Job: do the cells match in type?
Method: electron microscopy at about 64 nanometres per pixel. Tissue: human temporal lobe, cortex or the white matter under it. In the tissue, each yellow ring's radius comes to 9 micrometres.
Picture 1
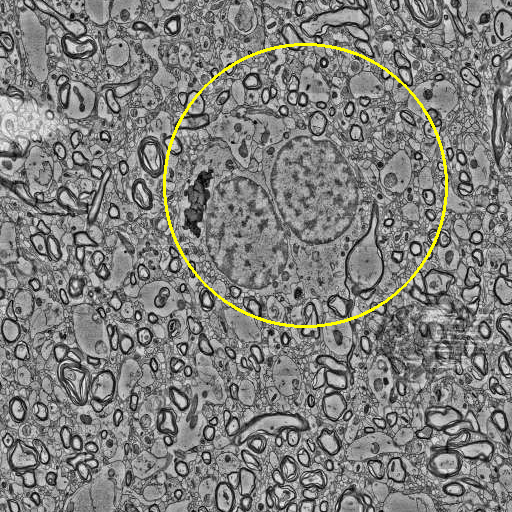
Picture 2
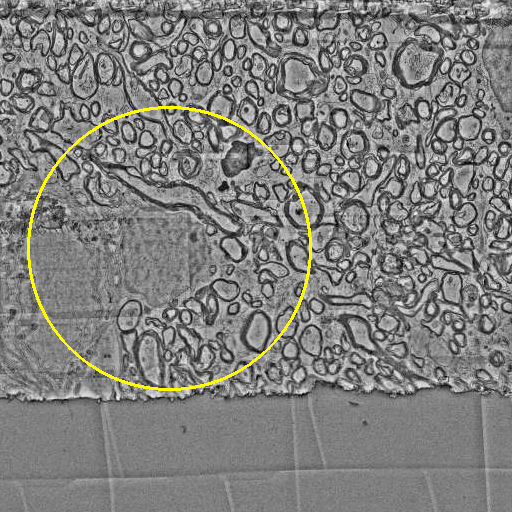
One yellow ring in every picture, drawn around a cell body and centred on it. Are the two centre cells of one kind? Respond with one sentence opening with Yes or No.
Yes, the ringed cells in the two pictures are of one and the same kind.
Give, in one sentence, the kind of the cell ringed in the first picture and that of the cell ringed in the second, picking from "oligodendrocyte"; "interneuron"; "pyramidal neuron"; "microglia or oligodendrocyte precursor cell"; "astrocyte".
Both the first and the second picture show an oligodendrocyte in the ring.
